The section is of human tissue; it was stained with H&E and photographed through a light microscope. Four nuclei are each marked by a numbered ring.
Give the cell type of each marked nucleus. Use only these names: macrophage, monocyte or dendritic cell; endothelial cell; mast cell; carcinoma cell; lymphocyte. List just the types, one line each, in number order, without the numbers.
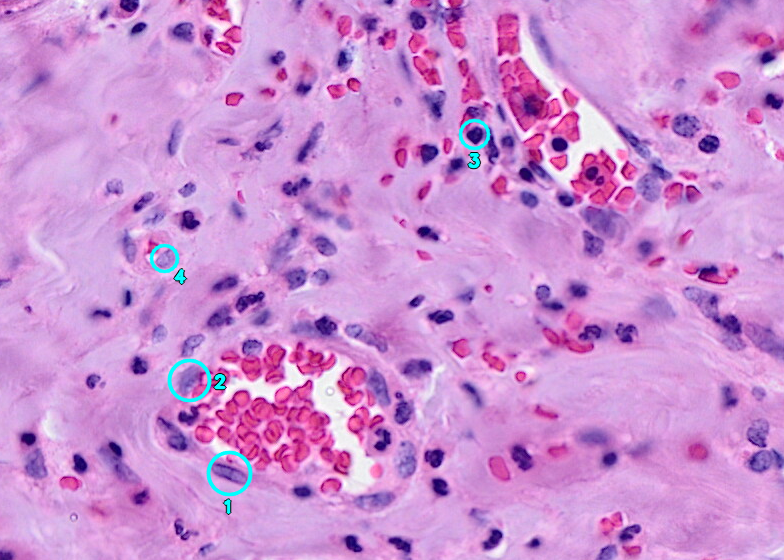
endothelial cell
endothelial cell
lymphocyte
endothelial cell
